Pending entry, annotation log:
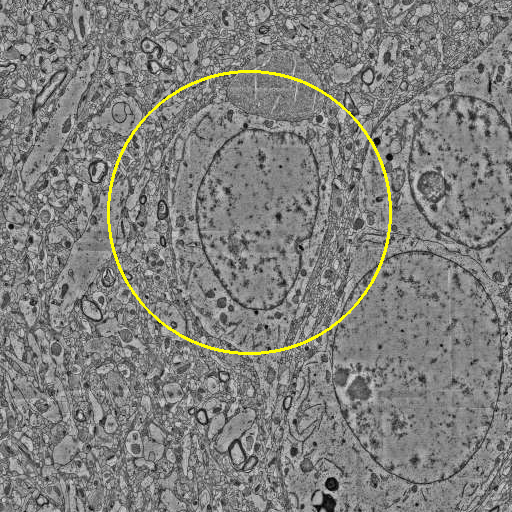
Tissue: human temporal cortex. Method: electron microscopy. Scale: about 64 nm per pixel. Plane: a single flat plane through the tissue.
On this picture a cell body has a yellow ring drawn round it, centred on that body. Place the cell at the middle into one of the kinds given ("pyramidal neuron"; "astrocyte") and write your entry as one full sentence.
The cell body at the middle of the yellow ring belongs to a pyramidal neuron.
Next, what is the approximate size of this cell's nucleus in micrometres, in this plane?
The nucleus comes to approximately 12 by 8 micrometres and is clearly longer than it is wide in this plane.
